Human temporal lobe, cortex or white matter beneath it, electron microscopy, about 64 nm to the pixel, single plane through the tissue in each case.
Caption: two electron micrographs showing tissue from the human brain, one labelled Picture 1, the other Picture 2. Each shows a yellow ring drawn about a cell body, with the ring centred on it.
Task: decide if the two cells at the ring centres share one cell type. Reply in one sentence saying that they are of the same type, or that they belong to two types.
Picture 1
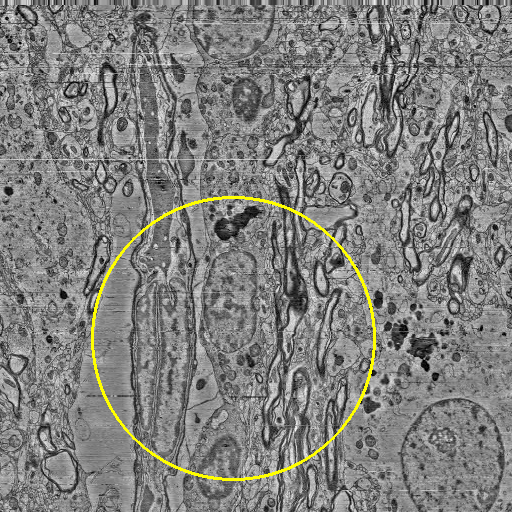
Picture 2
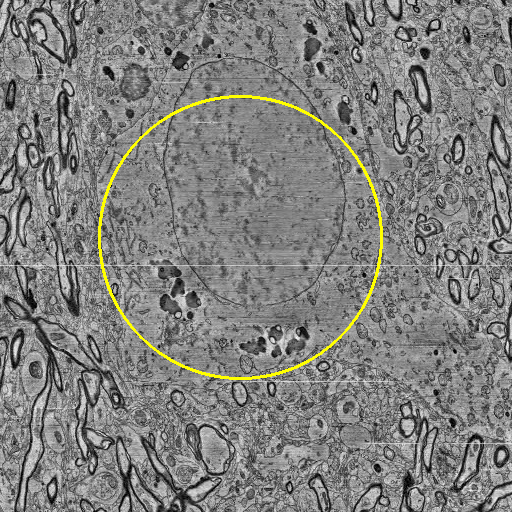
The cells at the ring centres in Picture 1 and Picture 2 belong to two types.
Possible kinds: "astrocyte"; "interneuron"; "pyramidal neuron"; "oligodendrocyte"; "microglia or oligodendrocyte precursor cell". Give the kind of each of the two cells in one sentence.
The cell in the second picture is a pyramidal neuron, and that in the first is an oligodendrocyte.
